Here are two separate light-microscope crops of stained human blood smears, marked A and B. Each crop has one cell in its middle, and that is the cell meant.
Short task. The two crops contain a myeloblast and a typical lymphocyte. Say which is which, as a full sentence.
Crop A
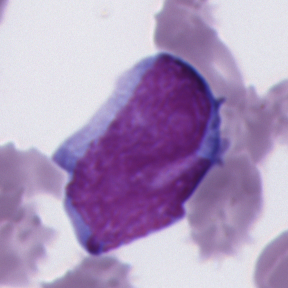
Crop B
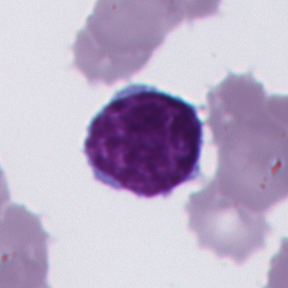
In crop A the cell is a myeloblast, while in crop B it is a typical lymphocyte.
